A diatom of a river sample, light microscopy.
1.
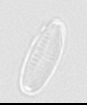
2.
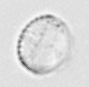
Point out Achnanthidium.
That is picture 1.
